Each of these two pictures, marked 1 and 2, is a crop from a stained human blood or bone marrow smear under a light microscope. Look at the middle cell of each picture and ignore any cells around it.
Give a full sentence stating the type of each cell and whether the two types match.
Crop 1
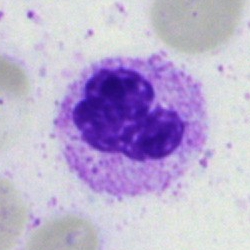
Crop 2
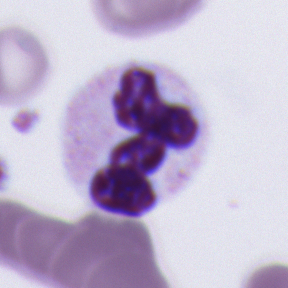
Yes, the two crops show segmented neutrophils at their centres.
